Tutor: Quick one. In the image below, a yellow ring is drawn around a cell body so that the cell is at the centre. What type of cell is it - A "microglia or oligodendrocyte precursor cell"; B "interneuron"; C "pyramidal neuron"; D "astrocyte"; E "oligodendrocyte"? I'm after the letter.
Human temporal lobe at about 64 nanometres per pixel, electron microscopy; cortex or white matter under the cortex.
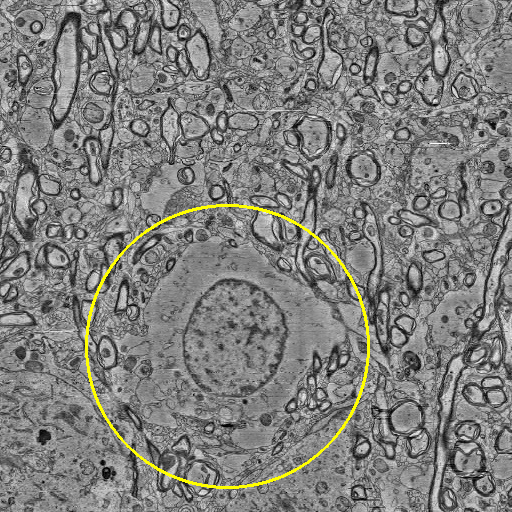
D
